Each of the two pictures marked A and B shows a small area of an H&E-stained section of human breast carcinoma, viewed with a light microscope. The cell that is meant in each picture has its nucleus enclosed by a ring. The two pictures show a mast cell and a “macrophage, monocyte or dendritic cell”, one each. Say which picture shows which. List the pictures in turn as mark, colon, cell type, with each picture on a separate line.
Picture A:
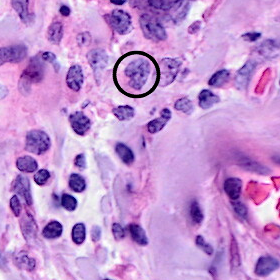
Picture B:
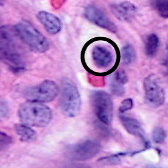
A: macrophage, monocyte or dendritic cell
B: mast cell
